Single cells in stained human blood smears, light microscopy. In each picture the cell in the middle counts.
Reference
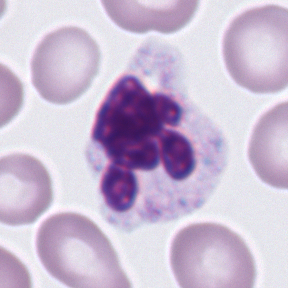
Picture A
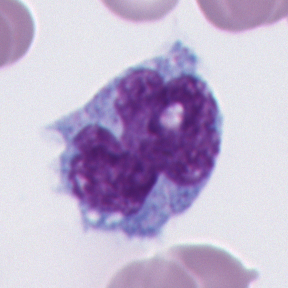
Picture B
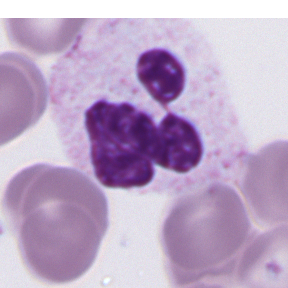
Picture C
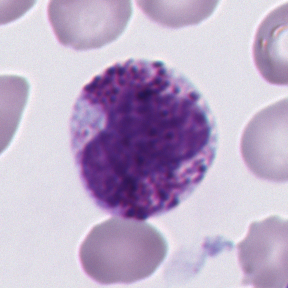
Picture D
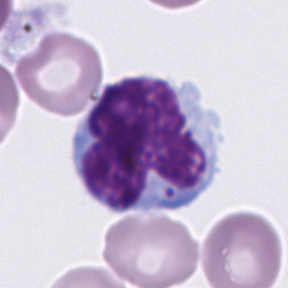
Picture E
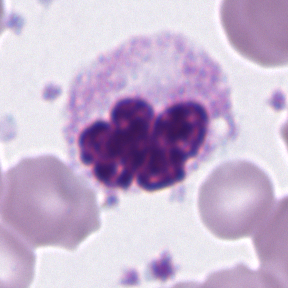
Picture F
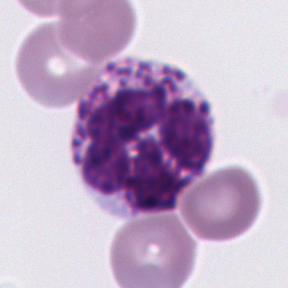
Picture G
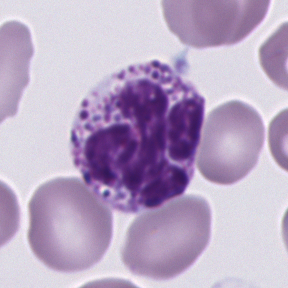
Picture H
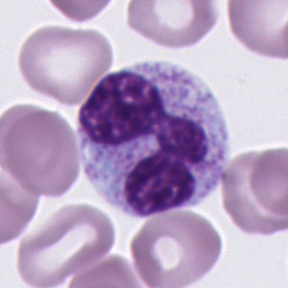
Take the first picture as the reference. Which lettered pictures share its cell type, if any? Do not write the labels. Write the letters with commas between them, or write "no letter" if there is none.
B, E, H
